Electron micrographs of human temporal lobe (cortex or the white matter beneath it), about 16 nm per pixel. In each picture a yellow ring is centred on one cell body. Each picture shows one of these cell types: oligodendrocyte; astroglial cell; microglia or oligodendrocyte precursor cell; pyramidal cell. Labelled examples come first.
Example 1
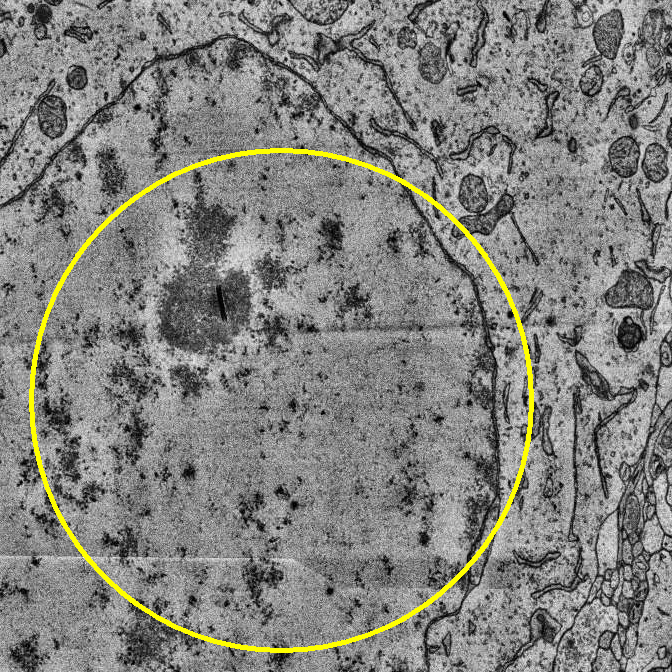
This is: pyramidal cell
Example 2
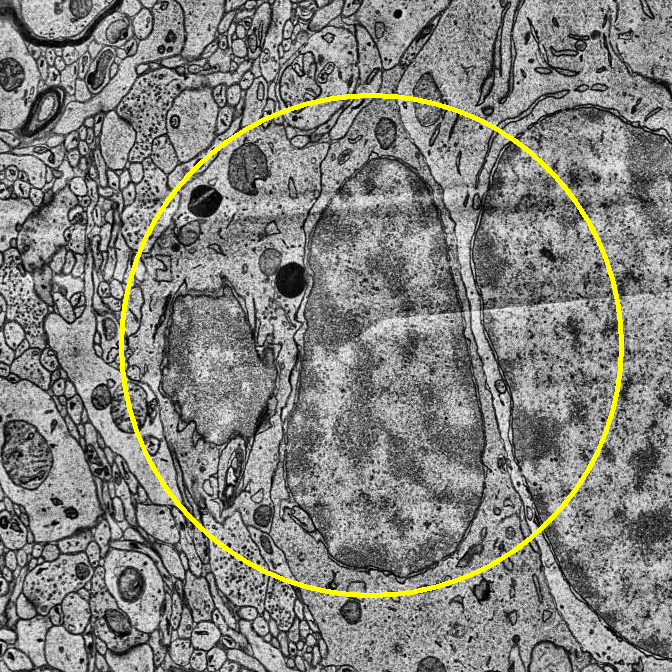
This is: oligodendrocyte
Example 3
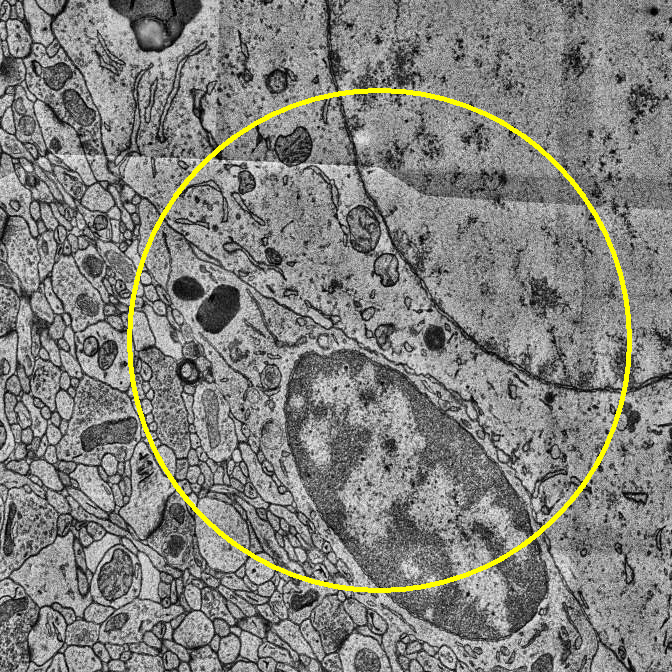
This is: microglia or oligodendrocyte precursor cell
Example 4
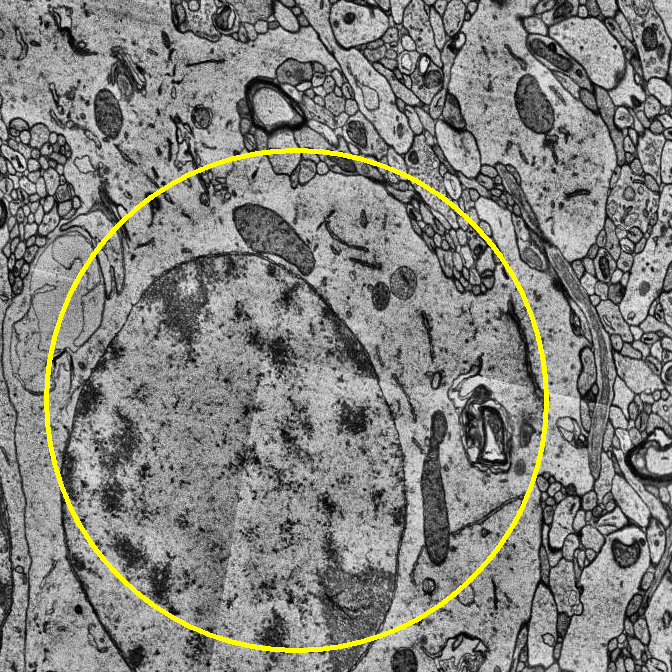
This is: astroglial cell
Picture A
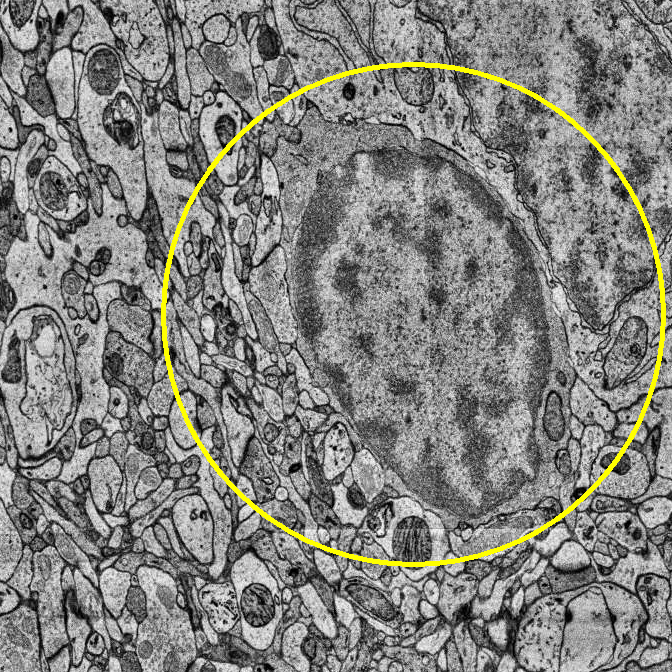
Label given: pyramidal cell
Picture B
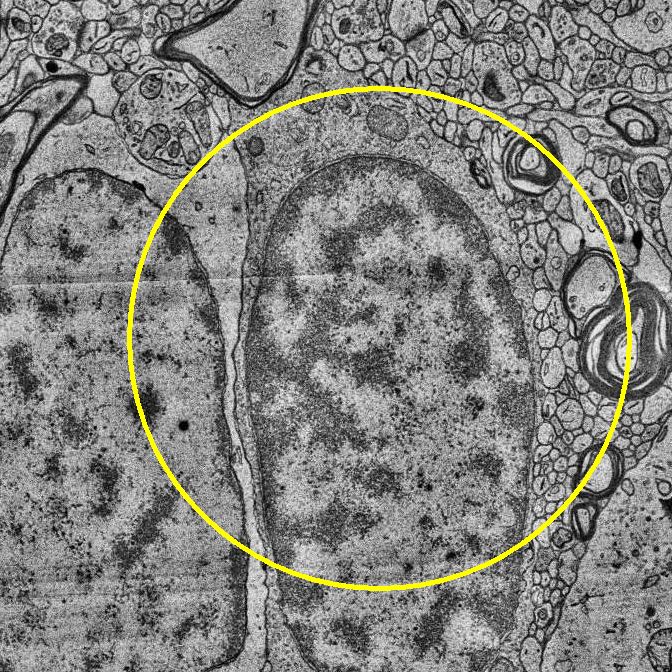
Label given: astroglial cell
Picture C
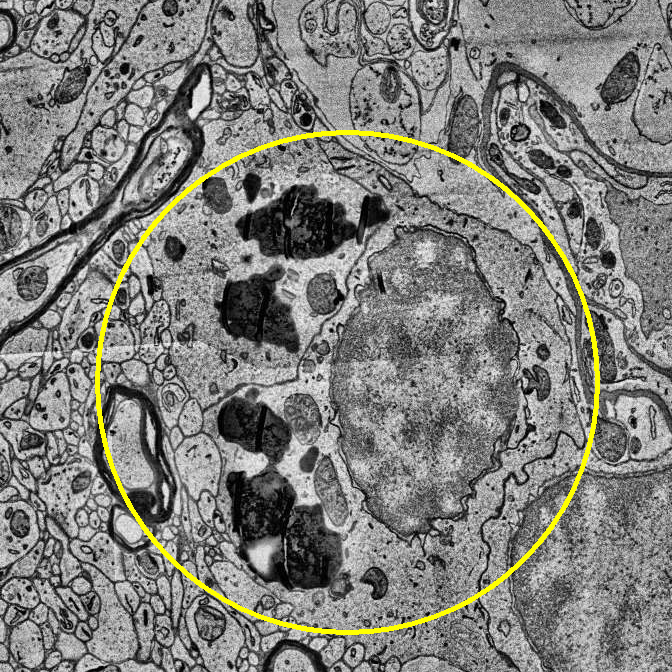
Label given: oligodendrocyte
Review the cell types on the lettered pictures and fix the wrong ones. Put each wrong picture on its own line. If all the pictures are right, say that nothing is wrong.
Wrong: A (pyramidal cell); correct: oligodendrocyte
Wrong: B (astroglial cell); correct: oligodendrocyte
